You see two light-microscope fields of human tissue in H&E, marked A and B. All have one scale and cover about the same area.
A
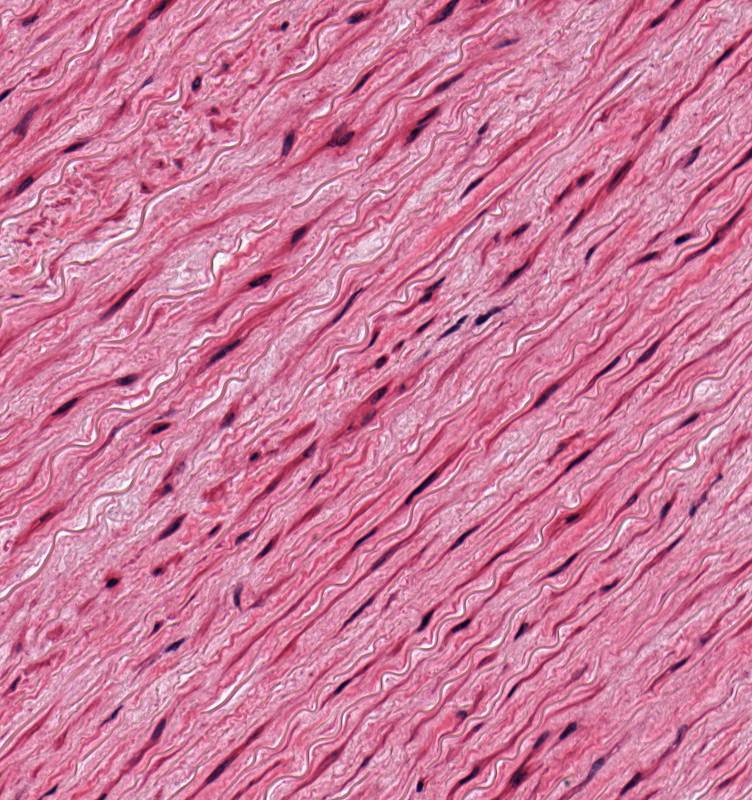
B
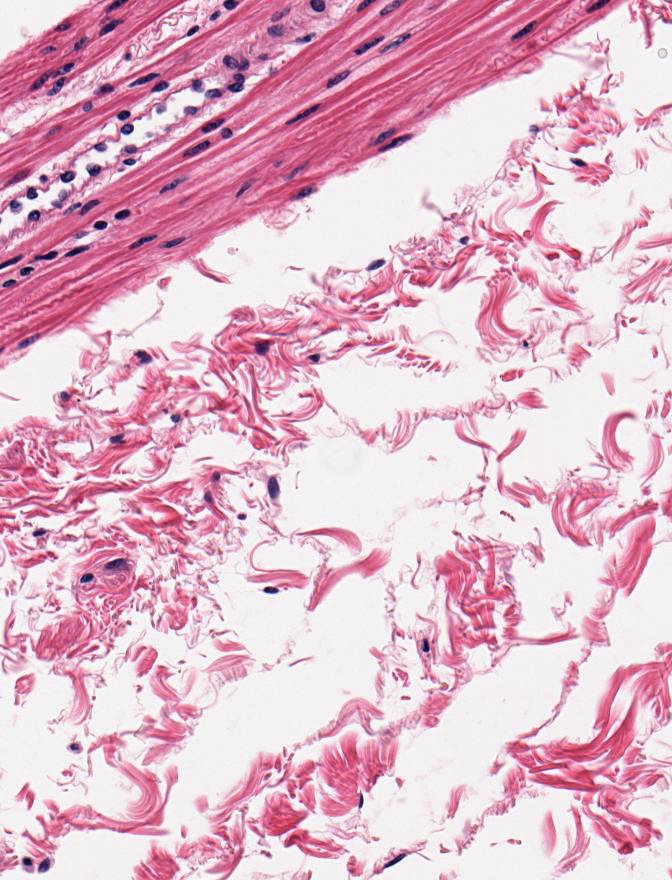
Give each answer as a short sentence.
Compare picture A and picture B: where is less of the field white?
Less of picture A is empty and white.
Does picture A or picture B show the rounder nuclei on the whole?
On the whole the nuclei of picture B are rounder than those of picture A.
